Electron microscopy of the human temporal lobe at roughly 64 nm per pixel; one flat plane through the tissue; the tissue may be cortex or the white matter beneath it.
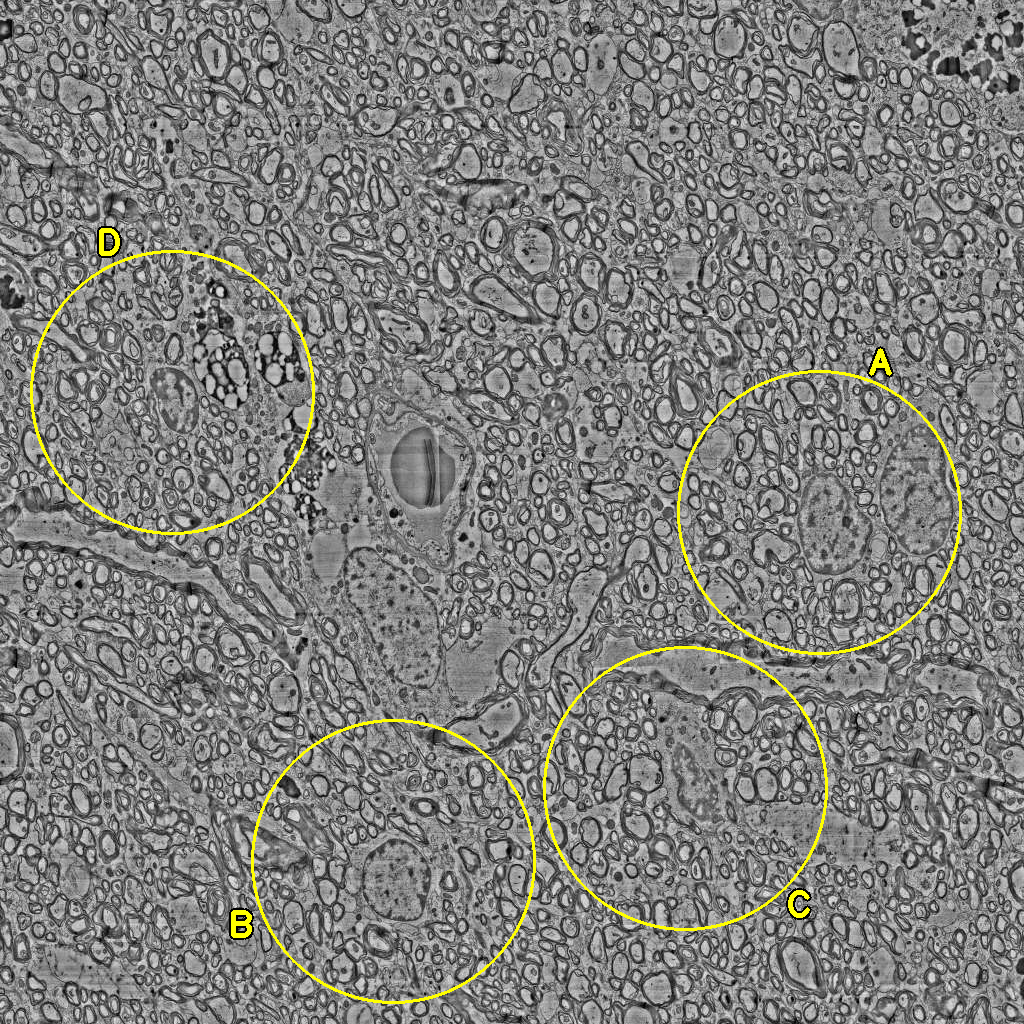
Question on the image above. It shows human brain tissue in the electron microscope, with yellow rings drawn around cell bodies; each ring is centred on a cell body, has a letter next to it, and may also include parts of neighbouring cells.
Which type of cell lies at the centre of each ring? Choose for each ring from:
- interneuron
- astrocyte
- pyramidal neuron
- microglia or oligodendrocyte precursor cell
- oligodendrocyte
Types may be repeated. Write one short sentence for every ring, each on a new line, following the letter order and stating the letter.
Ring A has been drawn around an oligodendrocyte.
Ring B has been drawn around a microglial cell or oligodendrocyte precursor cell.
Ring C has been drawn around an oligodendrocyte.
Ring D has been drawn around a microglial cell or oligodendrocyte precursor cell.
